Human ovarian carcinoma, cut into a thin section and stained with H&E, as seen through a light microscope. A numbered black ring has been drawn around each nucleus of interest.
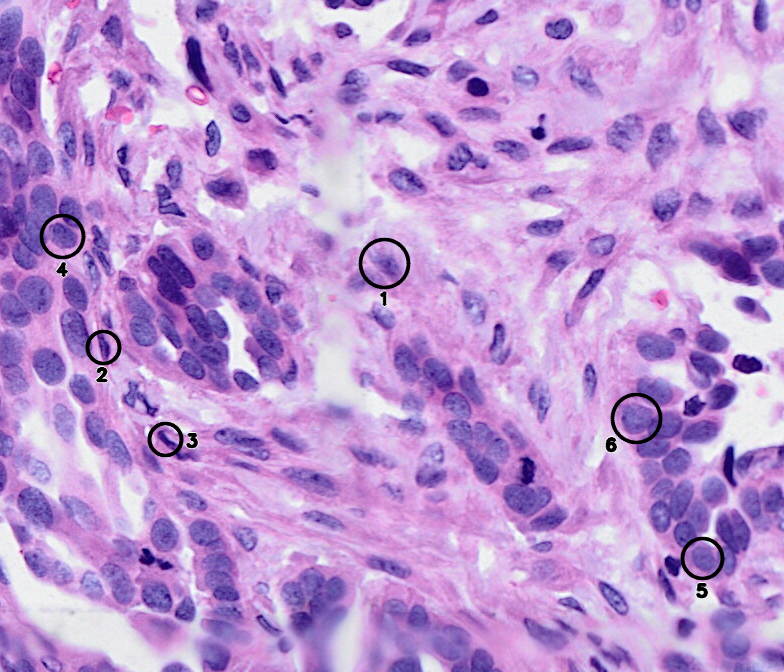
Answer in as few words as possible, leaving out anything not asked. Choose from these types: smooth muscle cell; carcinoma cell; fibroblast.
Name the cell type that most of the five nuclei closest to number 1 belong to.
fibroblast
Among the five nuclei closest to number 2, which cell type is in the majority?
carcinoma cell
